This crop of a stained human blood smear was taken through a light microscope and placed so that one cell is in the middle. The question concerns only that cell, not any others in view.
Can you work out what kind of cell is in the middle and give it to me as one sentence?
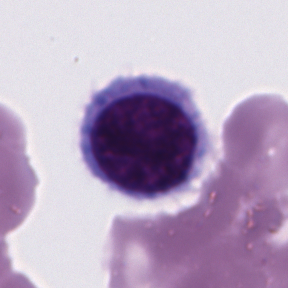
Centrally within this crop lies a hairy cell.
